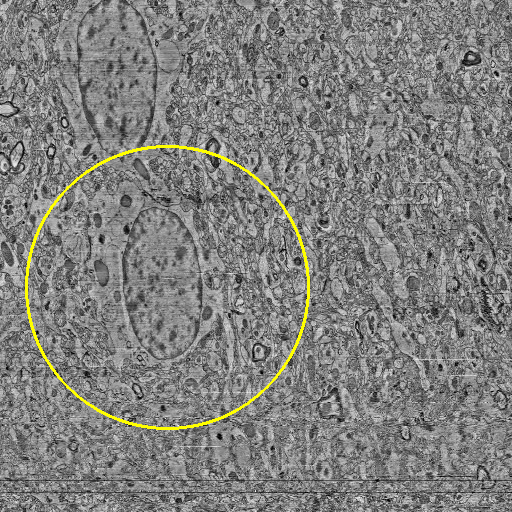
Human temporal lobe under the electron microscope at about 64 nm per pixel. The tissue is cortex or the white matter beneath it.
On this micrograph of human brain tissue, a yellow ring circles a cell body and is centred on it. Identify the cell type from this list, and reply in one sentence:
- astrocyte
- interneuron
The cell at the centre is an astrocyte.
